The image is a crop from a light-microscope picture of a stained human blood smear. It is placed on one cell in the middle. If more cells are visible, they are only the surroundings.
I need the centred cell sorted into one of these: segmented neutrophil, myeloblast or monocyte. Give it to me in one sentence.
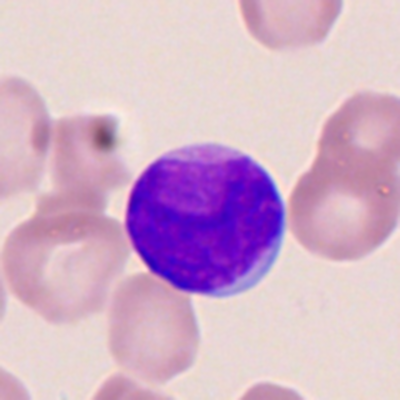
The center cell of this crop is a myeloblast.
